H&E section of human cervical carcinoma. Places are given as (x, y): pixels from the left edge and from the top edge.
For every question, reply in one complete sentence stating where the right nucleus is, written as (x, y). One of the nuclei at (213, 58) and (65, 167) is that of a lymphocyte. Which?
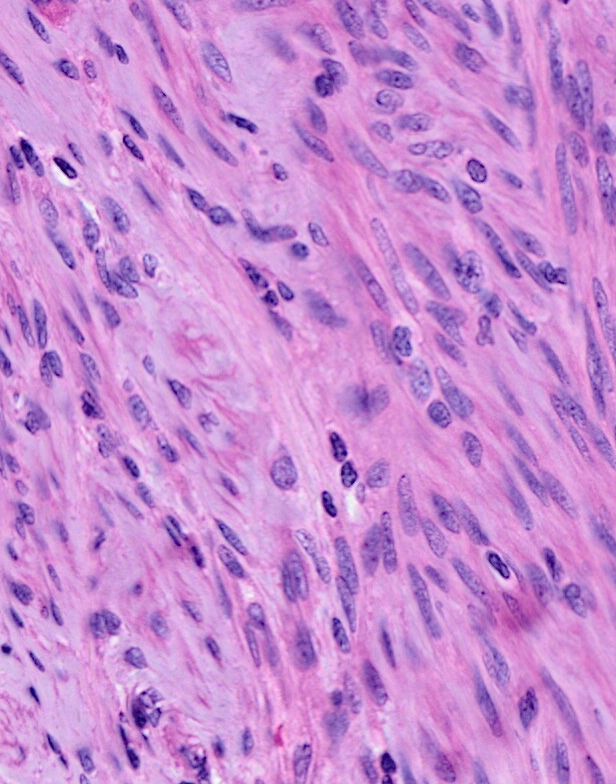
The one belonging to a lymphocyte is the nucleus at (65, 167), not the other.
